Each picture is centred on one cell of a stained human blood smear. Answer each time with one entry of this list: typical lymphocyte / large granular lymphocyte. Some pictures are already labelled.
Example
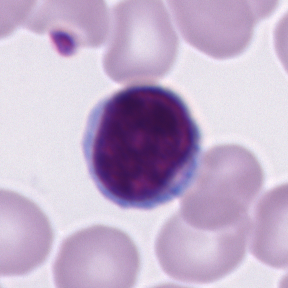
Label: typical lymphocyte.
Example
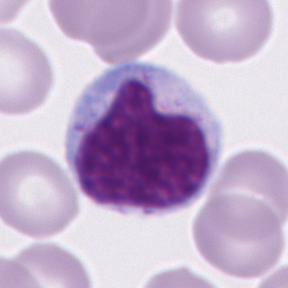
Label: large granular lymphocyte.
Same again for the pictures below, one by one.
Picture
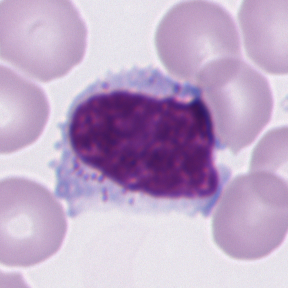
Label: large granular lymphocyte.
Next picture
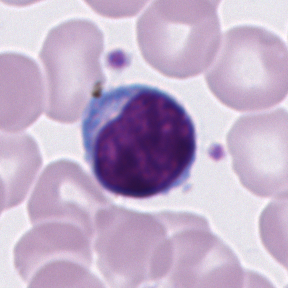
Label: typical lymphocyte.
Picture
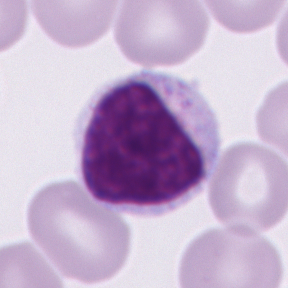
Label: large granular lymphocyte.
